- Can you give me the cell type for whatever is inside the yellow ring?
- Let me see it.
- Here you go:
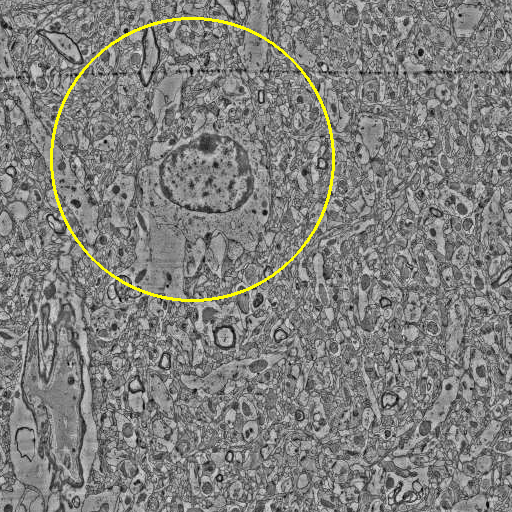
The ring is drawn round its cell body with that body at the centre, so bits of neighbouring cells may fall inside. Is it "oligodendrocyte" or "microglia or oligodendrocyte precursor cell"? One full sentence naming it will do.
The cell body in the middle of the ring in this picture belongs to a microglial cell or oligodendrocyte precursor cell.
